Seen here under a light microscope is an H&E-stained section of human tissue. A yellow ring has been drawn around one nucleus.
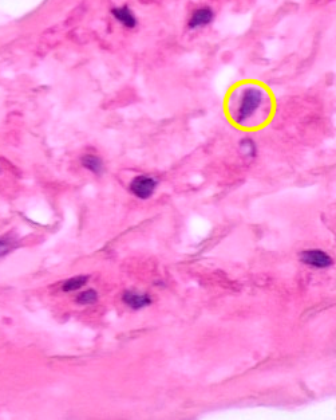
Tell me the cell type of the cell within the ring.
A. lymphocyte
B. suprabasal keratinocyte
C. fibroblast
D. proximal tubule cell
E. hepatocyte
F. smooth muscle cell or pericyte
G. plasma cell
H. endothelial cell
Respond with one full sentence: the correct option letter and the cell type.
Option F matches the cell within the ring, which is a smooth muscle cell or pericyte.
